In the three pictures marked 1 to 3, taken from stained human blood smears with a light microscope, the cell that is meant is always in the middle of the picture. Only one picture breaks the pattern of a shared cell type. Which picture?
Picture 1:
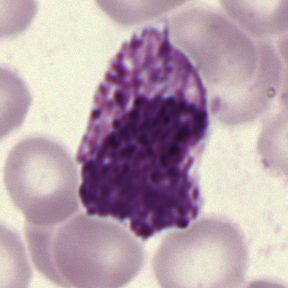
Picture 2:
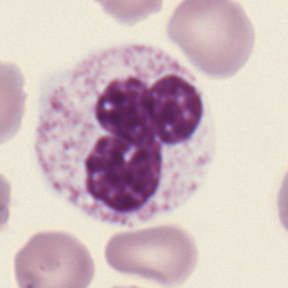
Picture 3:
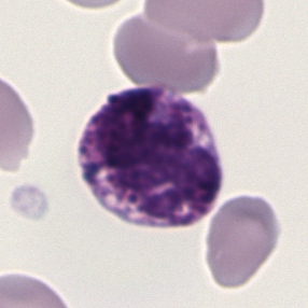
2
